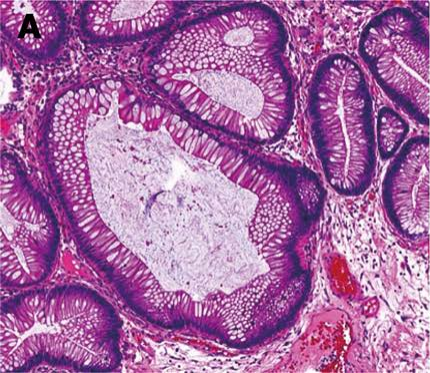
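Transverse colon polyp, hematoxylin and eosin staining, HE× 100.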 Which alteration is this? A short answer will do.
Cystic dilatation of some glands, filled with mucus.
